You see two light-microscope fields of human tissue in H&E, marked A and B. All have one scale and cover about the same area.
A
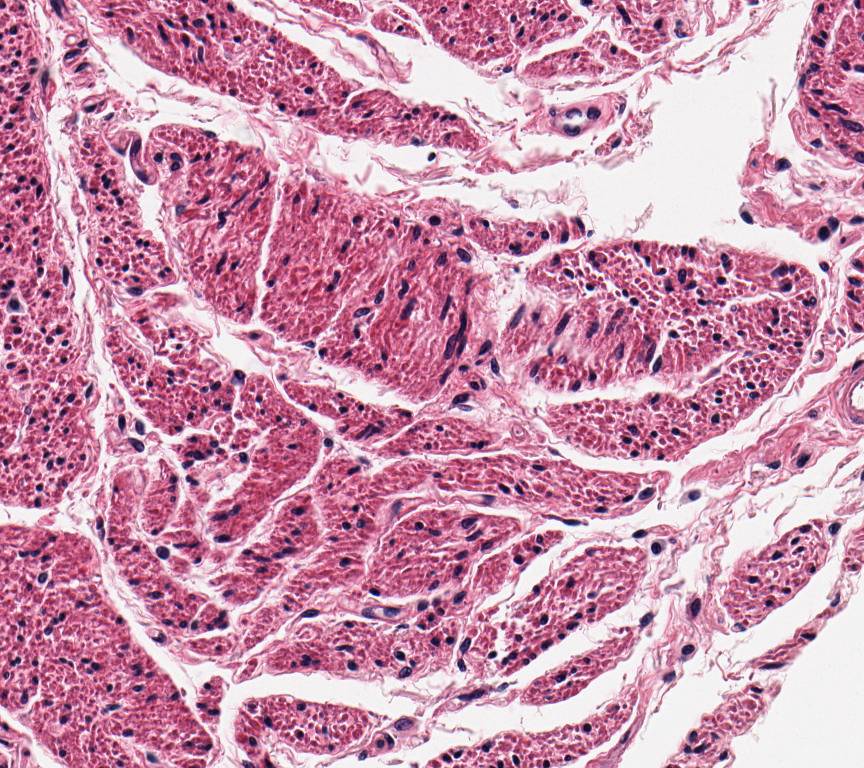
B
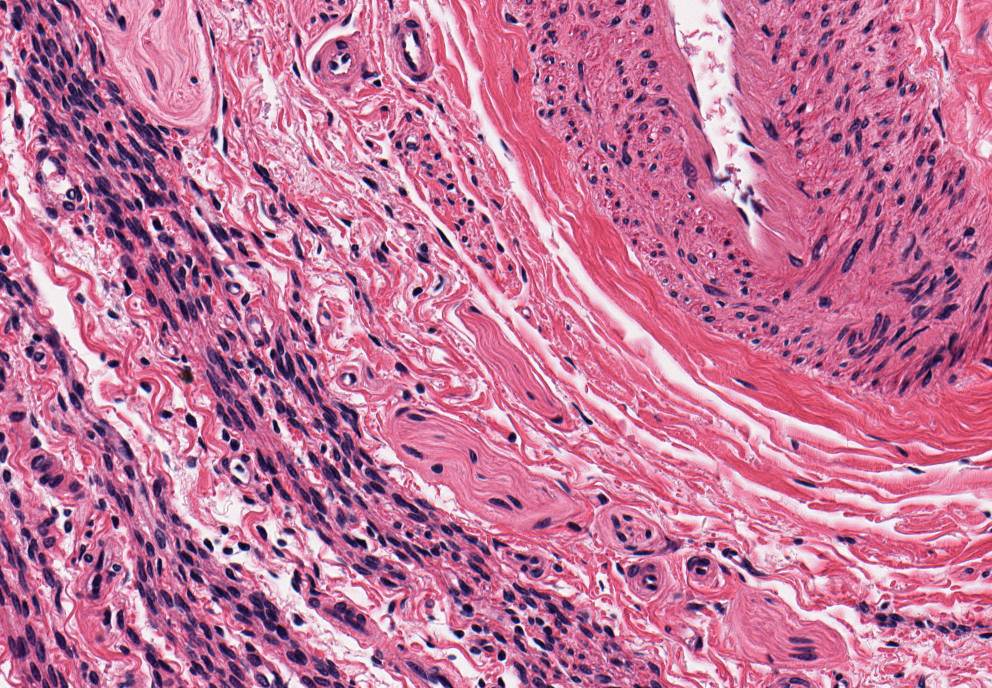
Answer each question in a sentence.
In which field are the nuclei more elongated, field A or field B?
On the whole the nuclei of field B are more drawn out than those of field A.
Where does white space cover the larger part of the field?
More of field A is empty and white.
